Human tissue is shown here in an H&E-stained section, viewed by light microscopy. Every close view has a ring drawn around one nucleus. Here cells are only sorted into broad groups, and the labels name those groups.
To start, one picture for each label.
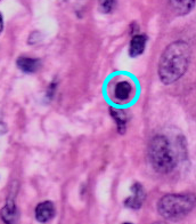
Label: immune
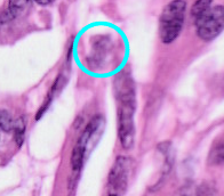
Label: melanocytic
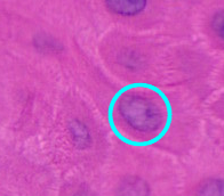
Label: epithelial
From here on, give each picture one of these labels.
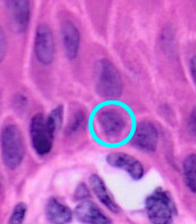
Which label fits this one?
epithelial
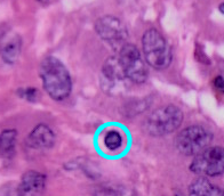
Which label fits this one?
immune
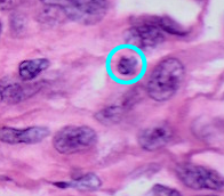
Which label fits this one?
immune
